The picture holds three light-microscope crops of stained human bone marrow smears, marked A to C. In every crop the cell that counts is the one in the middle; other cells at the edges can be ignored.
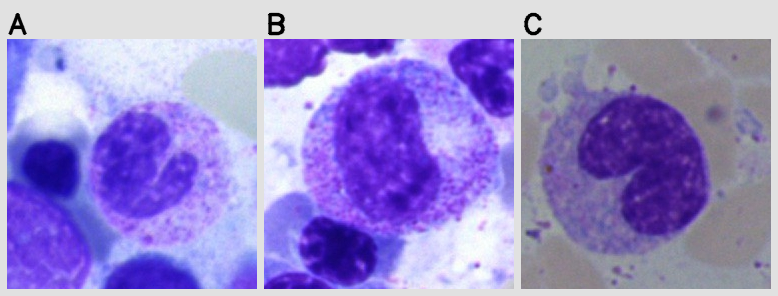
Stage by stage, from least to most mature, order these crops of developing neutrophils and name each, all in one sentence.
Taken from least to most mature, the sequence is crop B (a metamyelocyte), crop C (a band neutrophil) and crop A (a segmented neutrophil).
